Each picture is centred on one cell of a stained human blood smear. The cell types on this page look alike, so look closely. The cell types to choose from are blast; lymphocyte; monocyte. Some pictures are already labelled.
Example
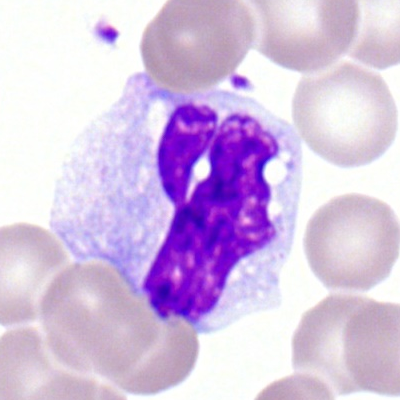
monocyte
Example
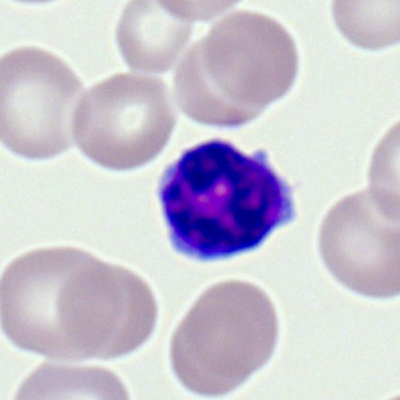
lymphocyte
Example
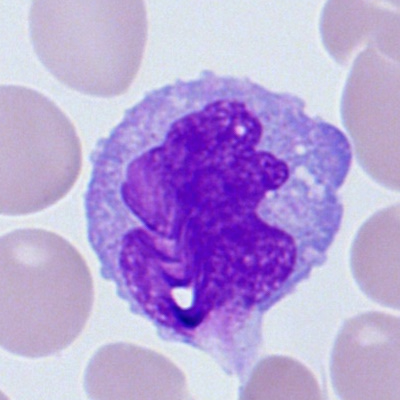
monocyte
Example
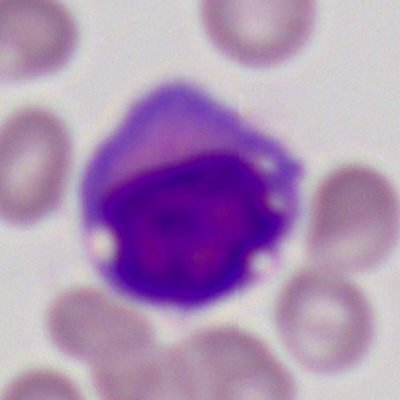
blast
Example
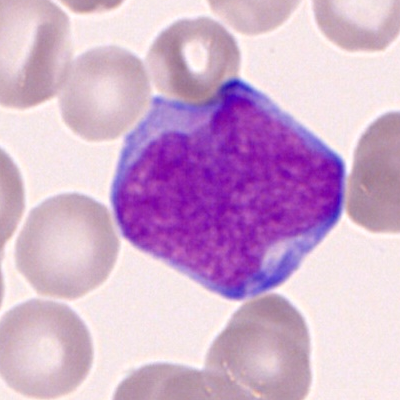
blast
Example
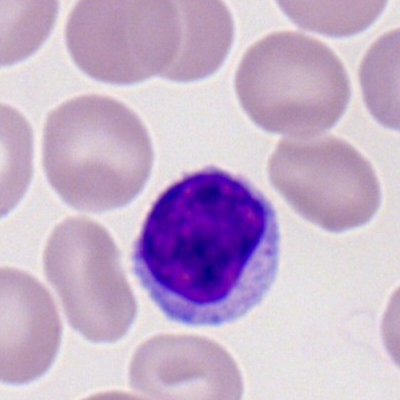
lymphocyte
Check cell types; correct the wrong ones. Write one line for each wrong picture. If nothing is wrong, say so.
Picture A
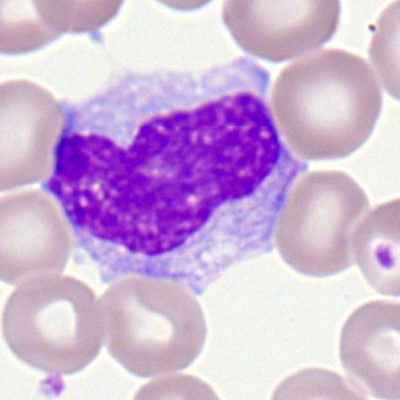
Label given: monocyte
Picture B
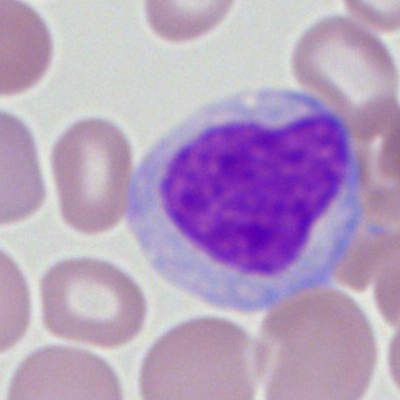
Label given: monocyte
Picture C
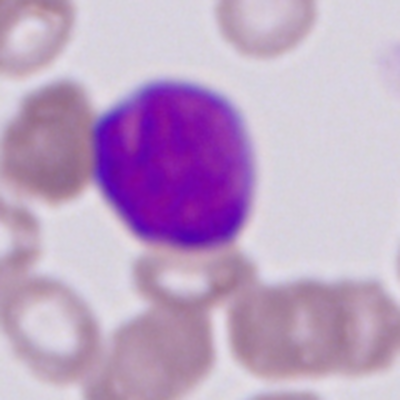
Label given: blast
All labels are correct.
